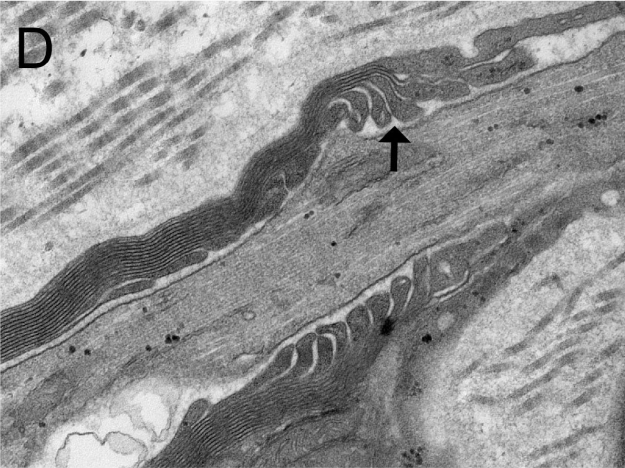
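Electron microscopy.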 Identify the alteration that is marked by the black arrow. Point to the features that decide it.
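The arrow points to a series of curved membranous loops at the end of the dark layered myelin. Pale clefts separate these loops from the underlying axon membrane.
Hence: Large spaces observed between the terminal loops and the axolemma.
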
